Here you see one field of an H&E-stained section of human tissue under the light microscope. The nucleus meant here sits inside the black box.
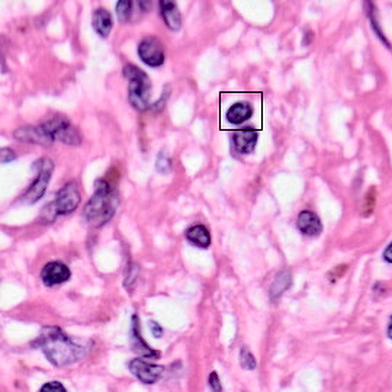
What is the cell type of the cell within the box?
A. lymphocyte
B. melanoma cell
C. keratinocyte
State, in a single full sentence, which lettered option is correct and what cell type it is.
It is option A that correctly calls the cell within the box a lymphocyte.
